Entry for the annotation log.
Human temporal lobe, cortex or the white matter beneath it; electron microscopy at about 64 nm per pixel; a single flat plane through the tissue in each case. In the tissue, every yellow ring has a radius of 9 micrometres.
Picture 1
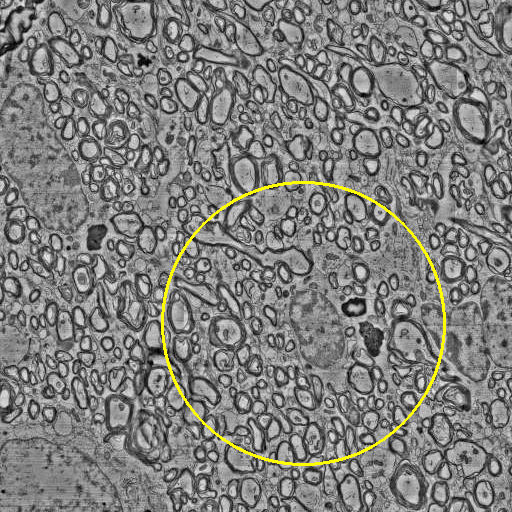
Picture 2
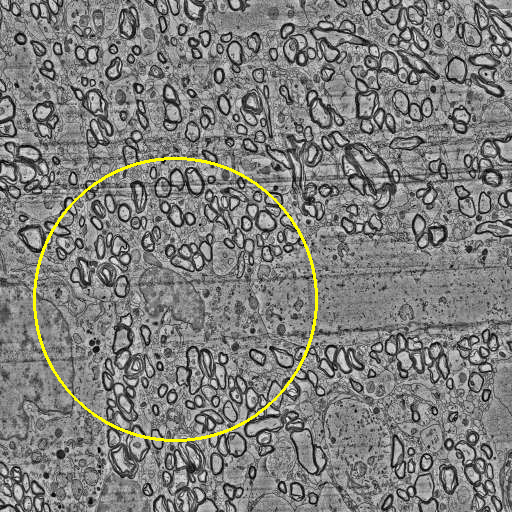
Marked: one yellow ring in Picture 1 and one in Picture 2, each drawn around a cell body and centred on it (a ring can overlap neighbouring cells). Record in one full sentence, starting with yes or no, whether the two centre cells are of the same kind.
Yes, both cells are of the same kind.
